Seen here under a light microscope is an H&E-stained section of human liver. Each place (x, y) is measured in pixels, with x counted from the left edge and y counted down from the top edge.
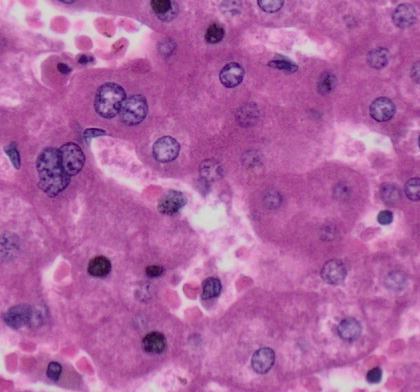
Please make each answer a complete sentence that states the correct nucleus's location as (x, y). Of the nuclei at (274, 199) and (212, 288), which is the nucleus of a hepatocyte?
The member of the pair belonging to a hepatocyte is the nucleus at (274, 199).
